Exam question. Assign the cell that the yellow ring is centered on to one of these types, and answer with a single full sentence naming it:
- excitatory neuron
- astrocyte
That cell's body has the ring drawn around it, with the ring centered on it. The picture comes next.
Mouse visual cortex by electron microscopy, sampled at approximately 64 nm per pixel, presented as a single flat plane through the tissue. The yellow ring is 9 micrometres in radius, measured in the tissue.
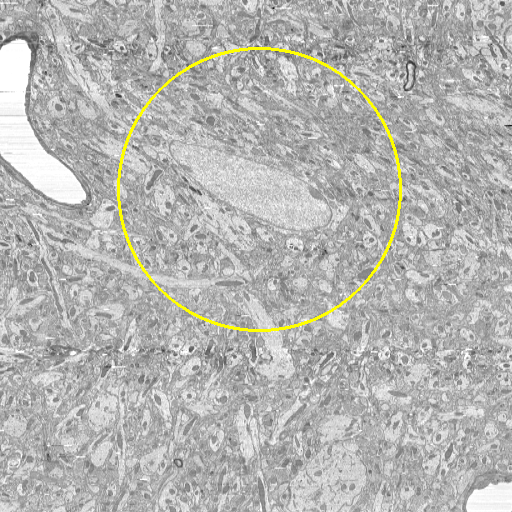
In the micrograph, the cell the yellow ring is centered on is an astrocyte.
